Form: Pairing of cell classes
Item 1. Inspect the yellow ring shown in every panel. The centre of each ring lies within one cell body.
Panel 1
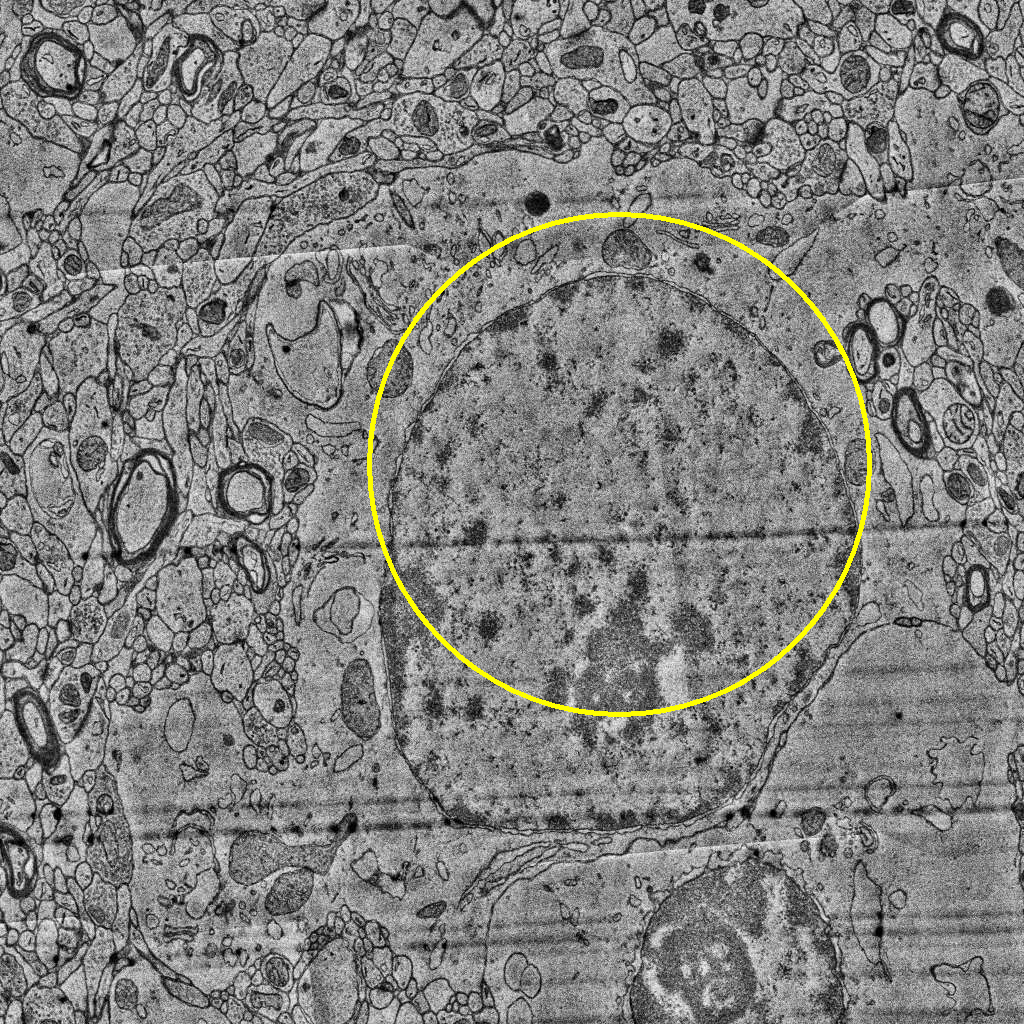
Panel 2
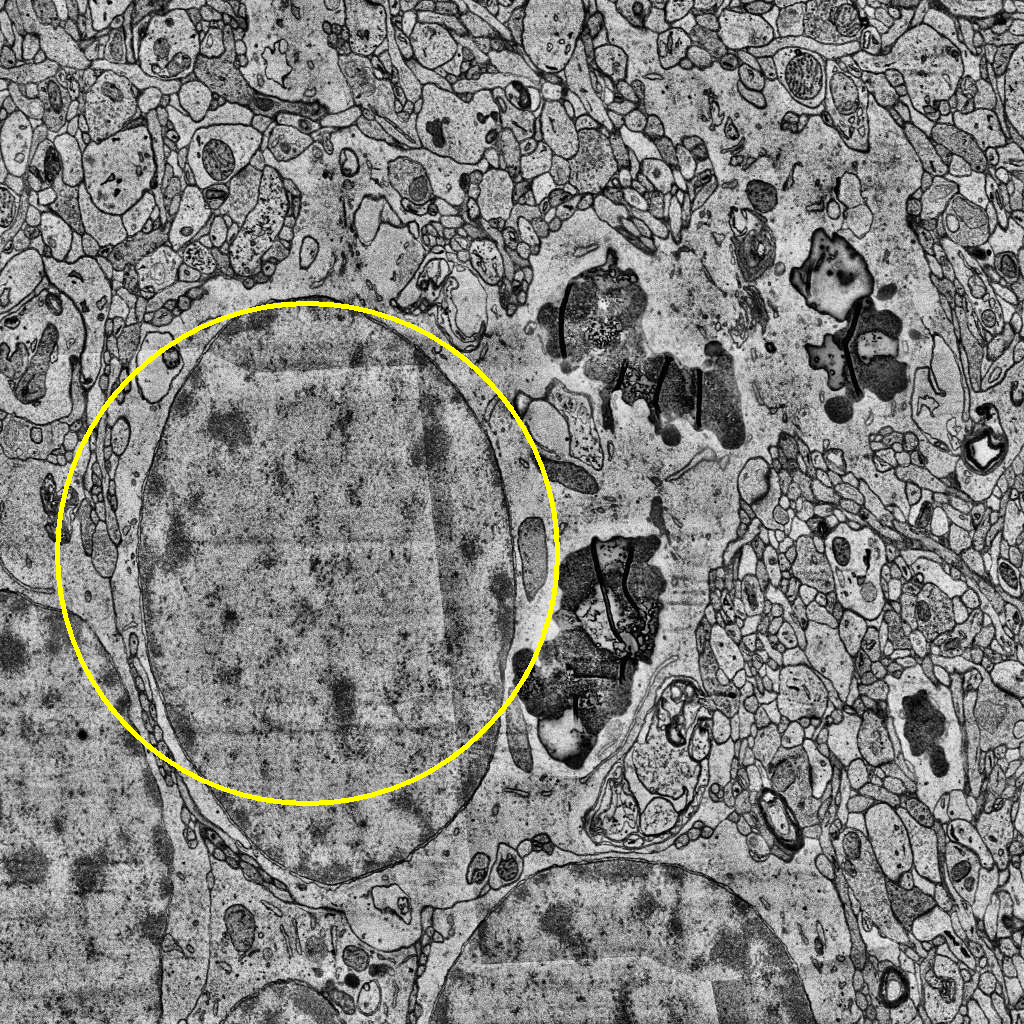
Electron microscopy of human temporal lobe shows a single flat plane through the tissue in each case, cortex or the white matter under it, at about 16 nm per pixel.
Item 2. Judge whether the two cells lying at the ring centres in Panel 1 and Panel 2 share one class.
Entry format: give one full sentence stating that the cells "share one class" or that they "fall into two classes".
The cells at the ring centres in Panel 1 and Panel 2 share one class.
